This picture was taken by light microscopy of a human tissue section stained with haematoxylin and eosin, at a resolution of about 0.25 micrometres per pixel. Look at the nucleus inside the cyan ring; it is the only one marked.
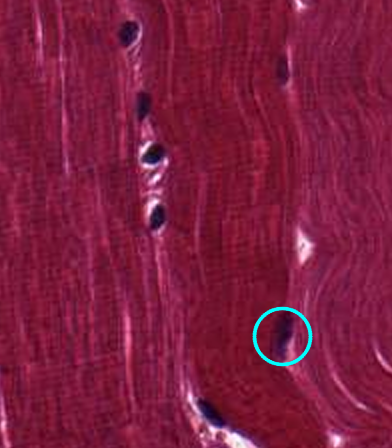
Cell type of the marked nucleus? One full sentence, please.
The marked nucleus is contained in a skeletal muscle fibre.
